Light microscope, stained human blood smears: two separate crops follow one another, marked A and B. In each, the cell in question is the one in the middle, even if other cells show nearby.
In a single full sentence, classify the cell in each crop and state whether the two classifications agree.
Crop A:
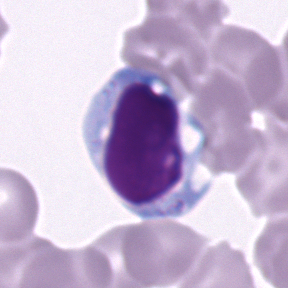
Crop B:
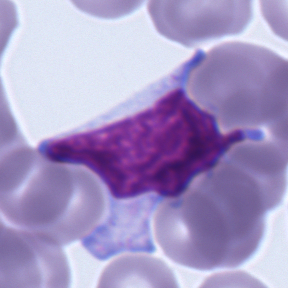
Yes, the first and the second crop both show typical lymphocytes.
